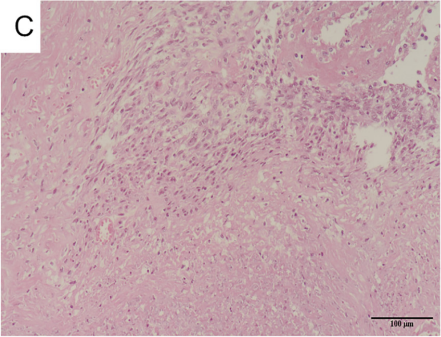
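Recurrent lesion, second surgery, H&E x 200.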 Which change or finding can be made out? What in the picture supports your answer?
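Viable spindle cells adjoin the pale areas.
Hence: coagulative tumor cell necrosis.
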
